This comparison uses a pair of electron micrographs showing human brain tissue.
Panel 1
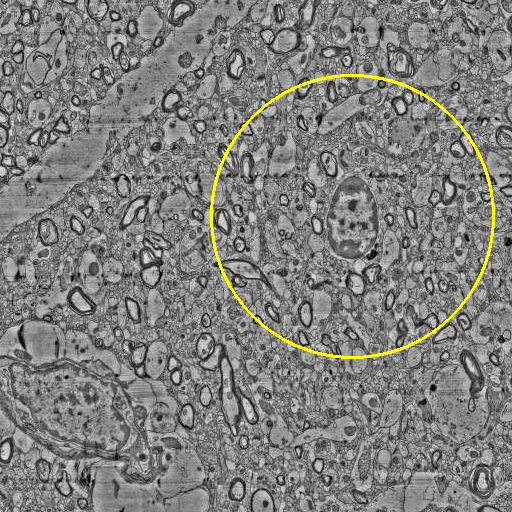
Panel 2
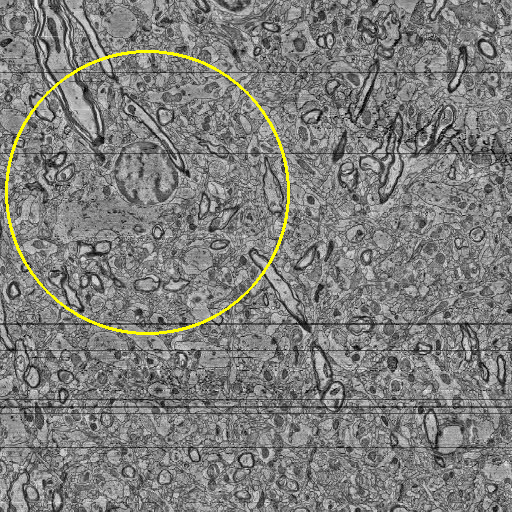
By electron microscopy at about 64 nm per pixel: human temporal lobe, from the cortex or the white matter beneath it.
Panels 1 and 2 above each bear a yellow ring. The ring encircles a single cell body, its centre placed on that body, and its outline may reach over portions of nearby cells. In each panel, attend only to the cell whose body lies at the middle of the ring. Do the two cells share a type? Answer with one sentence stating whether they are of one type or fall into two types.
In Panel 1 and Panel 2, the cells at the centres of the rings are of one type.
